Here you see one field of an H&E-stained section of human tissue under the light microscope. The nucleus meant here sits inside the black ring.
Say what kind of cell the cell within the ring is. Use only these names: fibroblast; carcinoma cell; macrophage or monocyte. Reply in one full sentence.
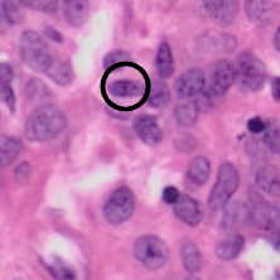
As to its cell type, the cell within the ring is a macrophage or monocyte.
